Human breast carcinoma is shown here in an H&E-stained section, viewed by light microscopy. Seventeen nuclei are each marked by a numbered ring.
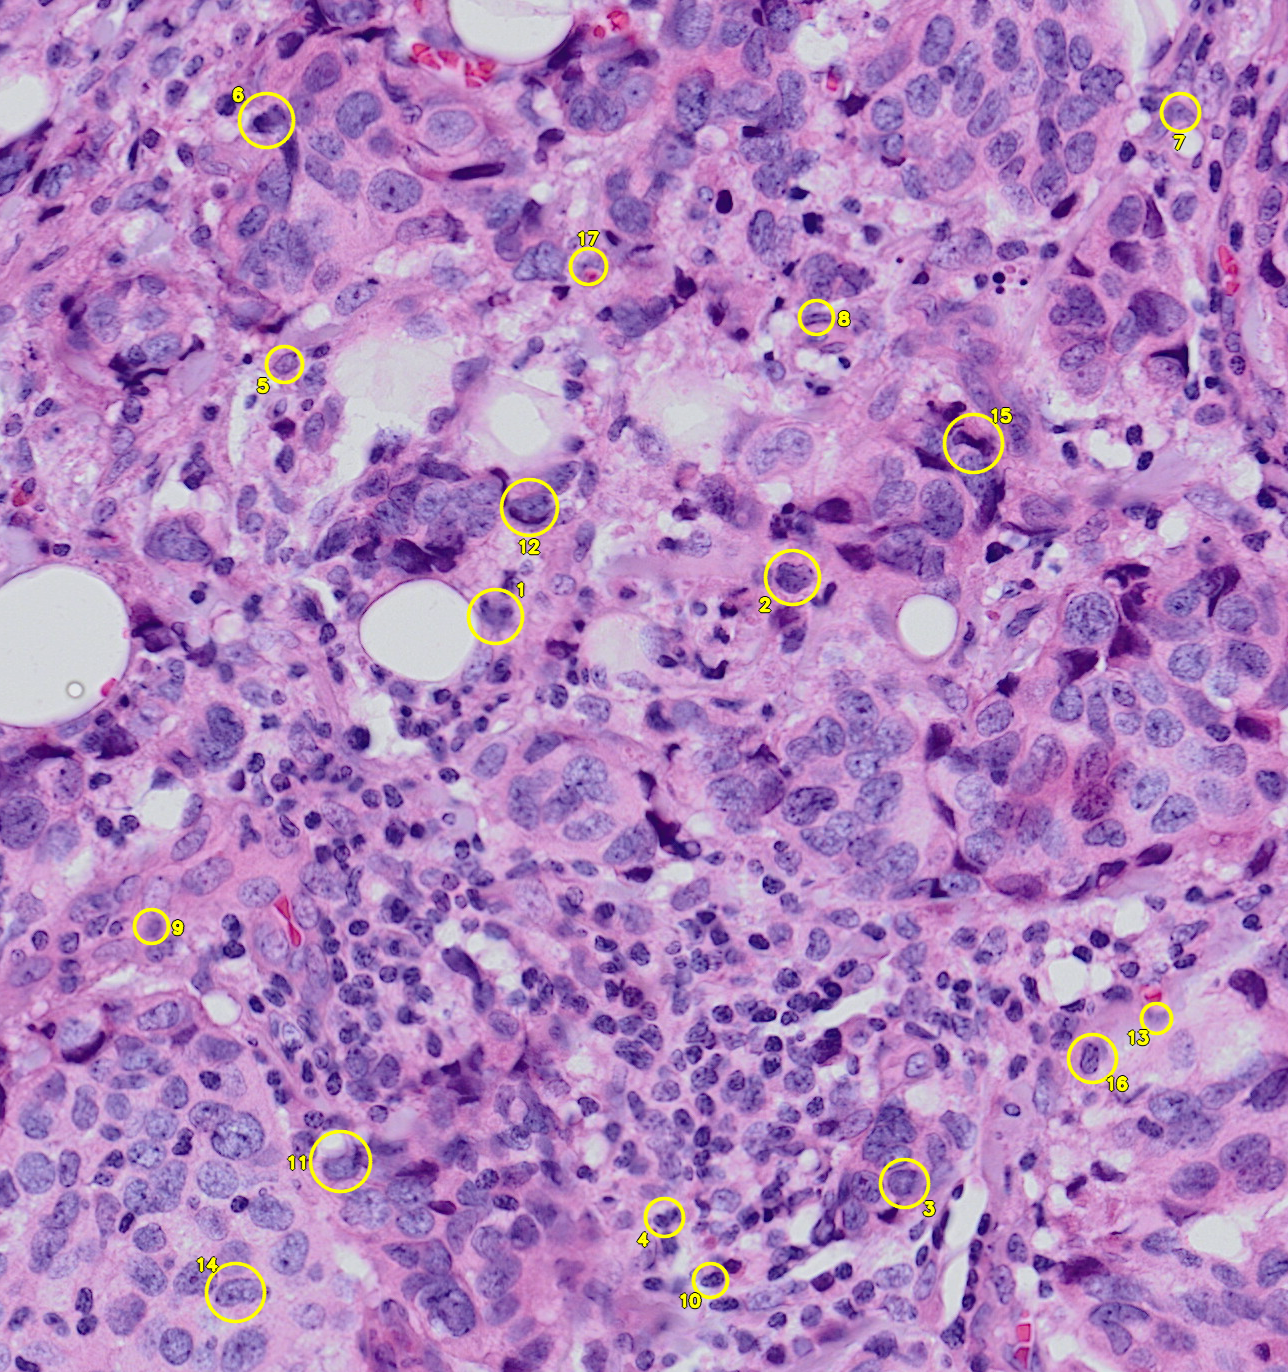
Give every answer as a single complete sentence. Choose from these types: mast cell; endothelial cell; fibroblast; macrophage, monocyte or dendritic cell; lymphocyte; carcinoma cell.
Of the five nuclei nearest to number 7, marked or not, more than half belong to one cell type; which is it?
Of the five nuclei nearest to number 7, most belong to fibroblasts.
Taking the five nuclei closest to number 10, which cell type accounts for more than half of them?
Of the five nuclei nearest to number 10, most belong to lymphocytes.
